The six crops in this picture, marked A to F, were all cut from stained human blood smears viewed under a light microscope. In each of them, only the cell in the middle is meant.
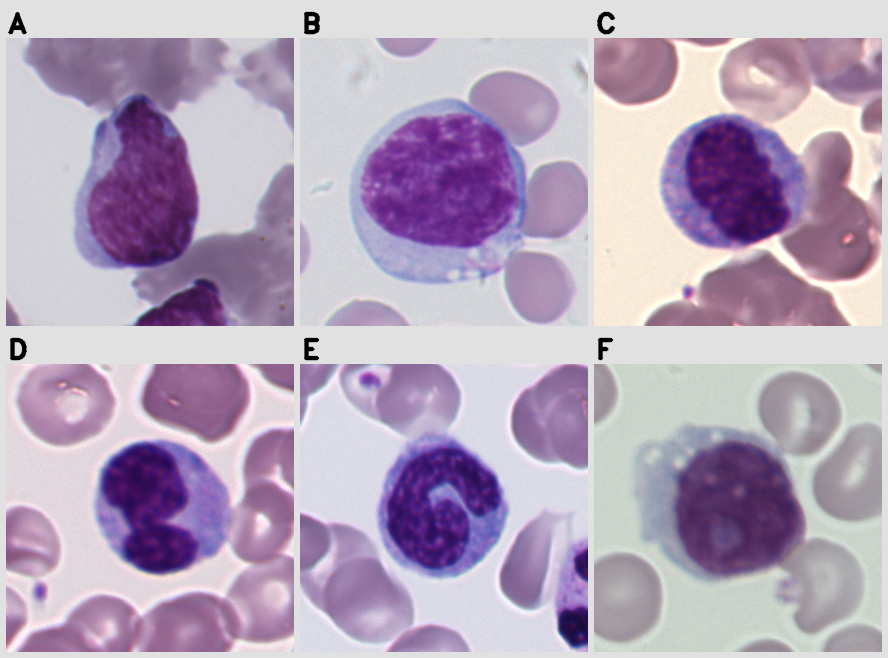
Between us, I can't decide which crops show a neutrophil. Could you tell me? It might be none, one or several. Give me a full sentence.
Findings: not one crop in the series shows a neutrophil.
